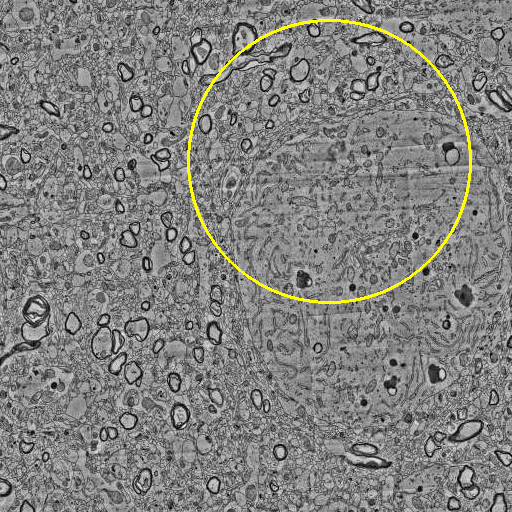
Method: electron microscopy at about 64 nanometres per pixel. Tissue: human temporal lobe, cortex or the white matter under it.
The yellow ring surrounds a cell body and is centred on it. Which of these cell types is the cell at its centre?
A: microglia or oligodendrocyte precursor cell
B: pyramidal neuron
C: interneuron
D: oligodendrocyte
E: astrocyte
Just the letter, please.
D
